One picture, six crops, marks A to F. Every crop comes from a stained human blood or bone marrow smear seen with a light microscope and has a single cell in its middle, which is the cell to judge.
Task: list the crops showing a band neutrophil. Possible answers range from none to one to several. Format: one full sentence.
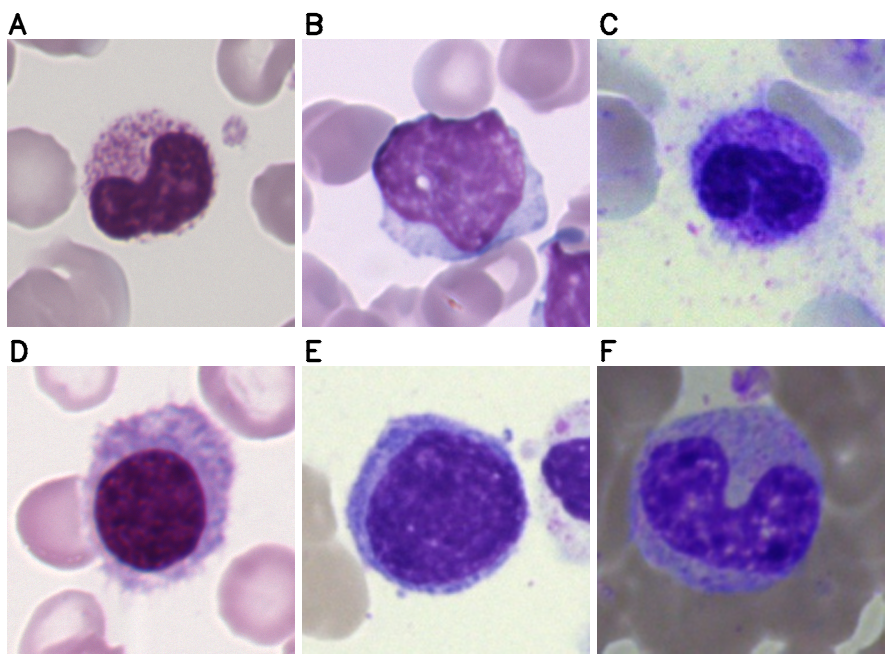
The central cells of crops A, C and F are identified as band neutrophils.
